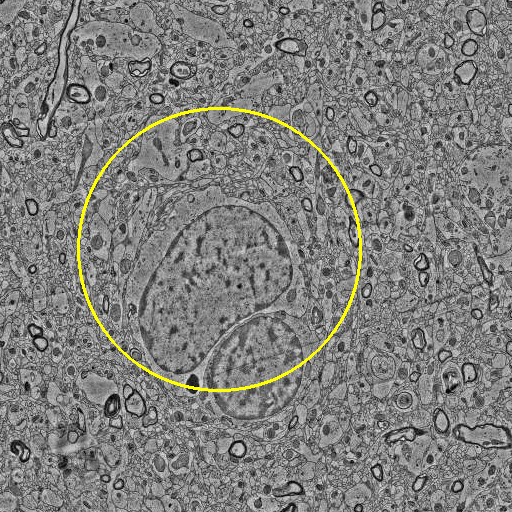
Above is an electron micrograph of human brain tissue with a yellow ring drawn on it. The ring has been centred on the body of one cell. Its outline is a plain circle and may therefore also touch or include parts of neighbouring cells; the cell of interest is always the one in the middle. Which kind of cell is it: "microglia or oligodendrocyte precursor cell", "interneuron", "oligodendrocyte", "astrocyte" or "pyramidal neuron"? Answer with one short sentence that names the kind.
The ring's central cell body is that of a microglial cell or oligodendrocyte precursor cell.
